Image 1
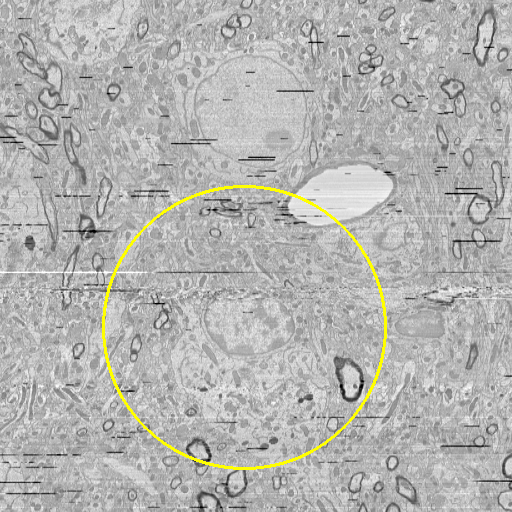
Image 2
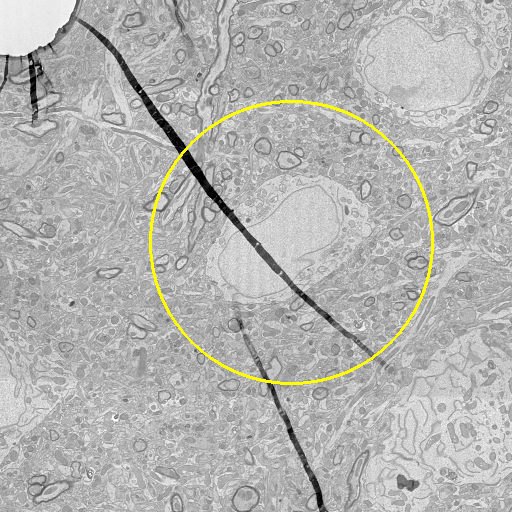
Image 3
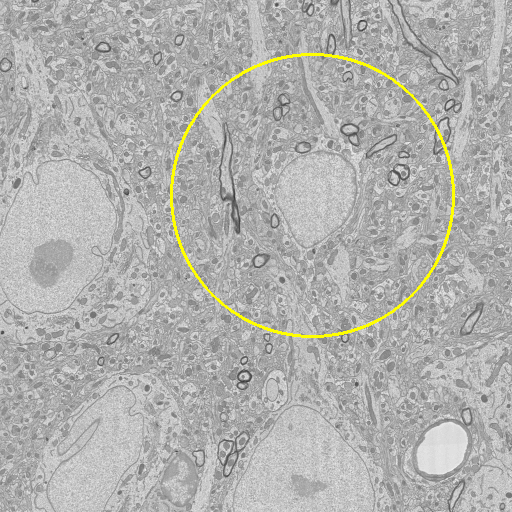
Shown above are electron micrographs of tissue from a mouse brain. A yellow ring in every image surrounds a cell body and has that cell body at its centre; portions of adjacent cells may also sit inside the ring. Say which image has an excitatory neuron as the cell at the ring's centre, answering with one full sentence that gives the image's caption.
The image whose ring is centred on the requested cell is Image 2.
